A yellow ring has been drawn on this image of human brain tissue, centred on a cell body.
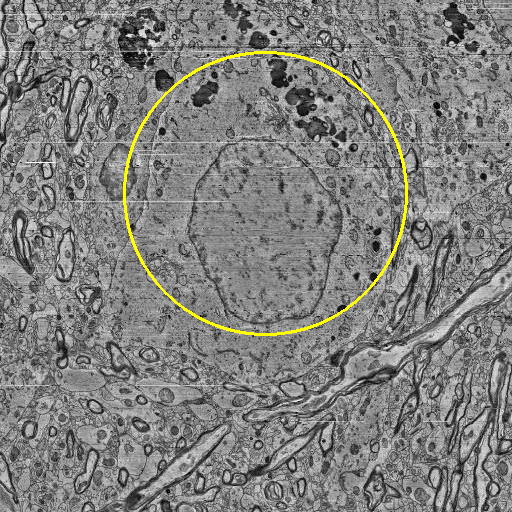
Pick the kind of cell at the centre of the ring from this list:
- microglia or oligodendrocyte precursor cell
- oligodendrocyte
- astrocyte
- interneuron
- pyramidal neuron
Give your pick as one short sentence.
The centre of the ring holds a pyramidal neuron.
